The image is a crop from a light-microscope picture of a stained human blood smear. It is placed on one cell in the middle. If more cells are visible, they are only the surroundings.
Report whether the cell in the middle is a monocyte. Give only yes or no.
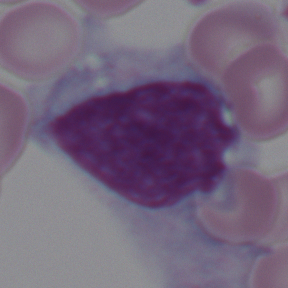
yes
